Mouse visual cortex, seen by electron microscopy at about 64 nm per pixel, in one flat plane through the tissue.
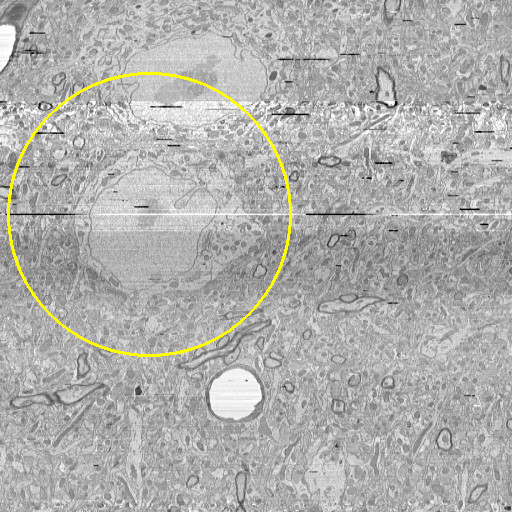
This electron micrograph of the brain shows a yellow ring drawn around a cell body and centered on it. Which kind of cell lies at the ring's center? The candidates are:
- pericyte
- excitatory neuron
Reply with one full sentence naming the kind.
The cell lying at the ring's center in this micrograph is an excitatory neuron.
